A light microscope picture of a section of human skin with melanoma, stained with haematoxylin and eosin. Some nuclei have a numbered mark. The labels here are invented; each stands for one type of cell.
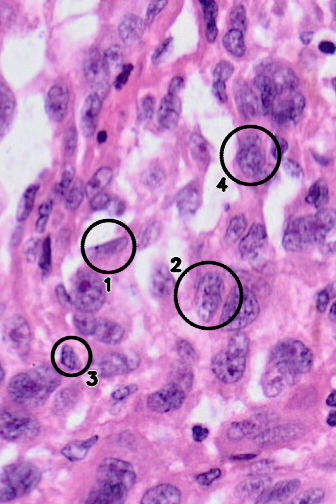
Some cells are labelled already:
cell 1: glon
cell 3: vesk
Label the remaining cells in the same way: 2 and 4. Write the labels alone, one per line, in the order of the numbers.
glon
glon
